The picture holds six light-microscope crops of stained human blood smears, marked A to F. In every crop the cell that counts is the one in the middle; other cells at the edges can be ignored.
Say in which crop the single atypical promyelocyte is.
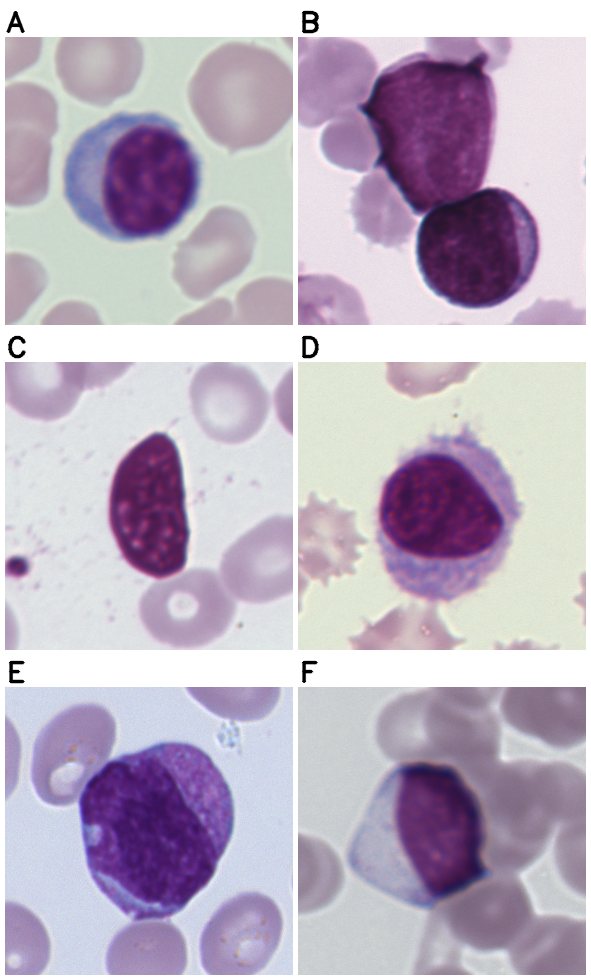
E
